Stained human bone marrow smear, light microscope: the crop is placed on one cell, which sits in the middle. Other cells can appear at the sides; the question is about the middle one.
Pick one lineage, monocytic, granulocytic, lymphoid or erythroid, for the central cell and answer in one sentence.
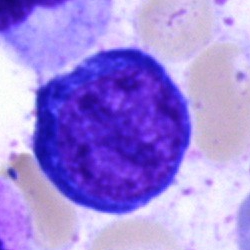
The cell situated centrally in the crop is of the erythroid lineage.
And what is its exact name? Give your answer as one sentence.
The middle cell in this particular crop is a proerythroblast.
